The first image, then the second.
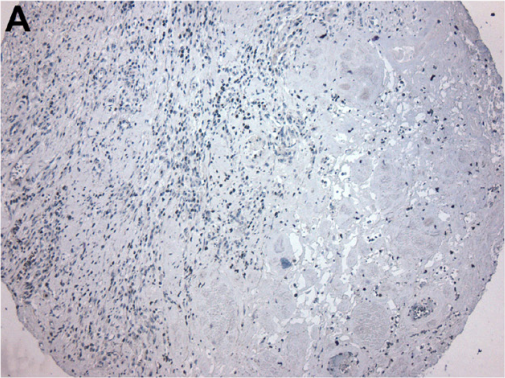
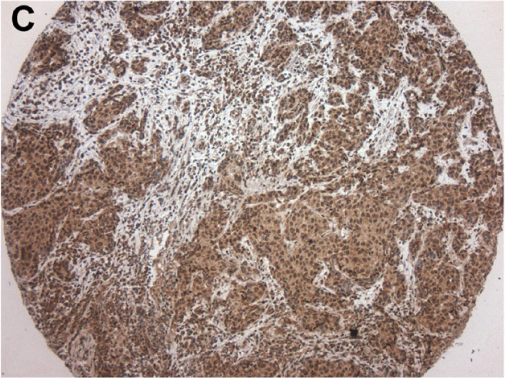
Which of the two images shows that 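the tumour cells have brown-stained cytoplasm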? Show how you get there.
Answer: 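The second image. Second image: broad nests of cells are stained brown throughout the cytoplasm. First image: the tissue is pale grey-blue with only blue nuclei and no brown stain.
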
